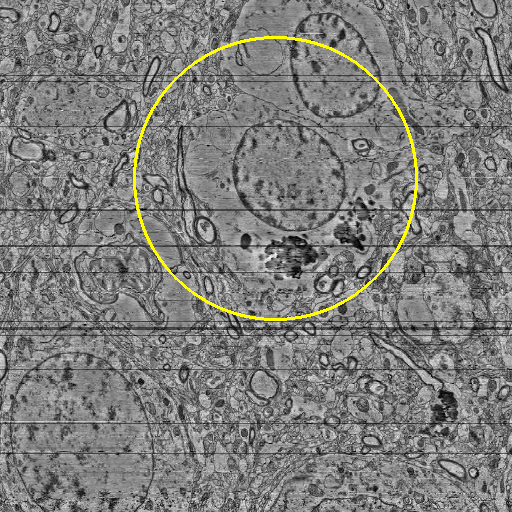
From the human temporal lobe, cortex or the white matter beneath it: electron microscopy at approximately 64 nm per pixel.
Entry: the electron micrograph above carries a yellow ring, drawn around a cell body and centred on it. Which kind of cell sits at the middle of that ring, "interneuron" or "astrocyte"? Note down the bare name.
astrocyte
